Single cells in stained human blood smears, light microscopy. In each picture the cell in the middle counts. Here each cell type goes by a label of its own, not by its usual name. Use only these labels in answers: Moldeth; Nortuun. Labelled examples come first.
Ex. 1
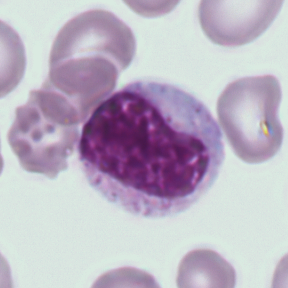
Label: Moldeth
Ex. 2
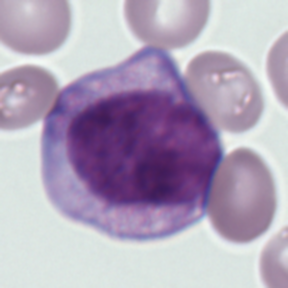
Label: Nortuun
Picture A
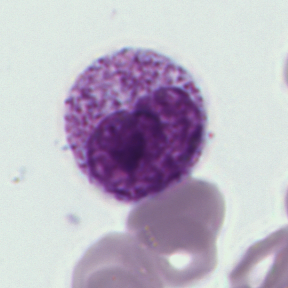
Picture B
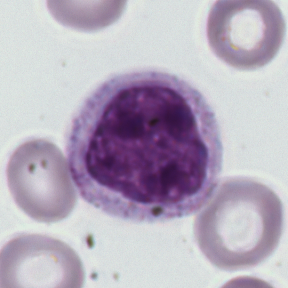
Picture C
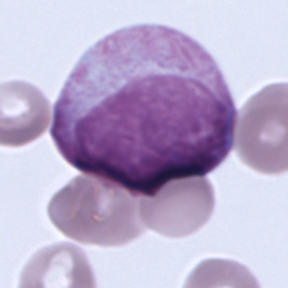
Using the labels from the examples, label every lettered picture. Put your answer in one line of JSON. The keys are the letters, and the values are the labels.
{"A": "Moldeth", "B": "Moldeth", "C": "Nortuun"}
